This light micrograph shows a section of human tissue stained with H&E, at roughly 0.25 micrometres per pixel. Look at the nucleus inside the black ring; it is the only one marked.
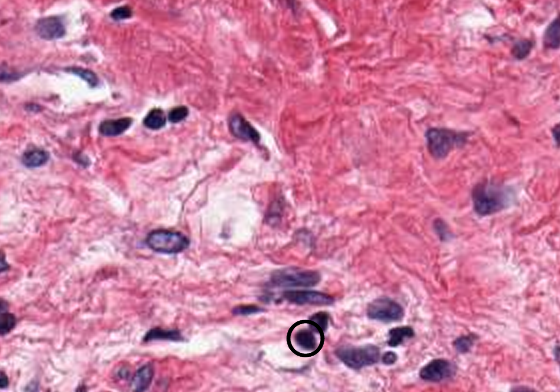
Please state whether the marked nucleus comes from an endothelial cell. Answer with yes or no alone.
no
